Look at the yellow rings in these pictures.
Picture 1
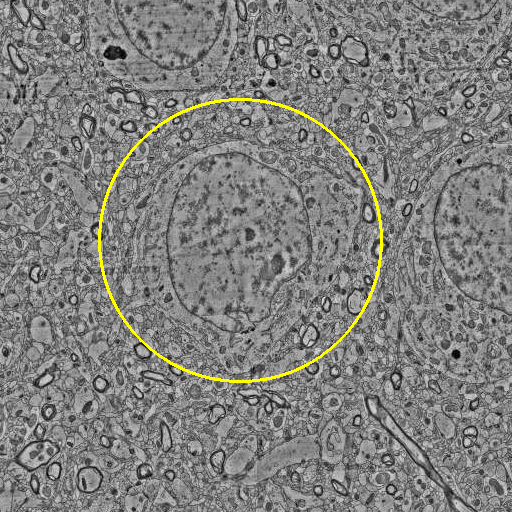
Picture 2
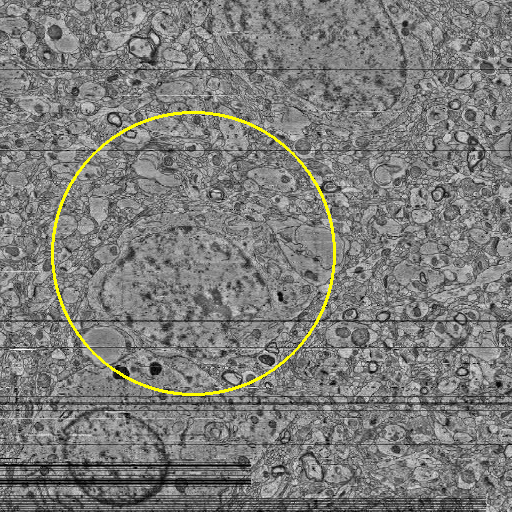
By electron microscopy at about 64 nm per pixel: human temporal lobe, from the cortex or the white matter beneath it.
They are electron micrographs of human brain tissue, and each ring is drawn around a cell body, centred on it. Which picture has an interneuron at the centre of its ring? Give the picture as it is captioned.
Picture 2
